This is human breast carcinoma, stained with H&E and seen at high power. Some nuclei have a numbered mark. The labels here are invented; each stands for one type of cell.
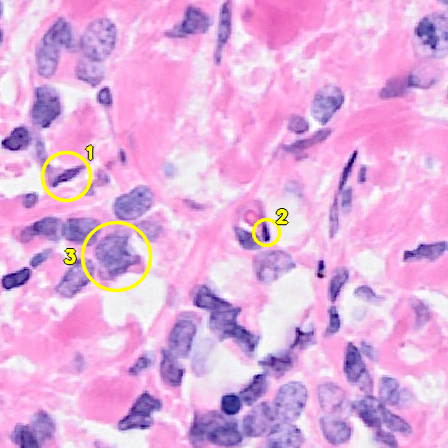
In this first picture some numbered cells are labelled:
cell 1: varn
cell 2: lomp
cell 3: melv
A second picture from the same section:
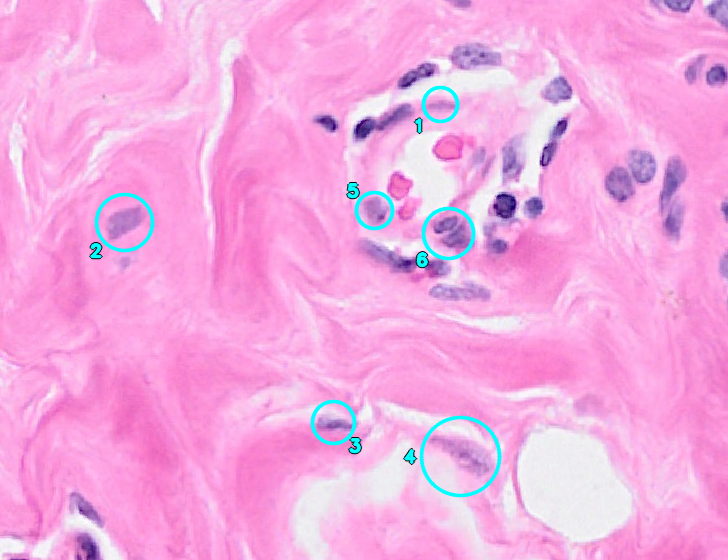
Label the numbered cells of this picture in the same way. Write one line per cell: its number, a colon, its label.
1: lomp
2: varn
3: varn
4: varn
5: lomp
6: lomp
